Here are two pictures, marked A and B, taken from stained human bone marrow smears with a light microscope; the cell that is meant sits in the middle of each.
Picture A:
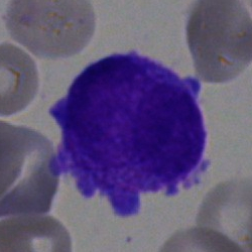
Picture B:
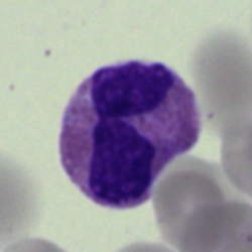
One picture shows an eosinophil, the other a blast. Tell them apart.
A: blast
B: eosinophil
